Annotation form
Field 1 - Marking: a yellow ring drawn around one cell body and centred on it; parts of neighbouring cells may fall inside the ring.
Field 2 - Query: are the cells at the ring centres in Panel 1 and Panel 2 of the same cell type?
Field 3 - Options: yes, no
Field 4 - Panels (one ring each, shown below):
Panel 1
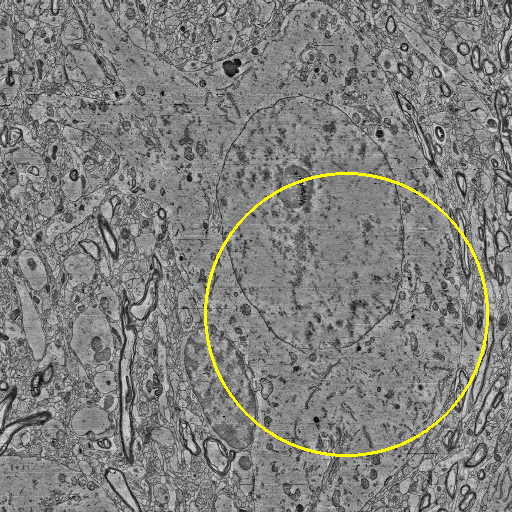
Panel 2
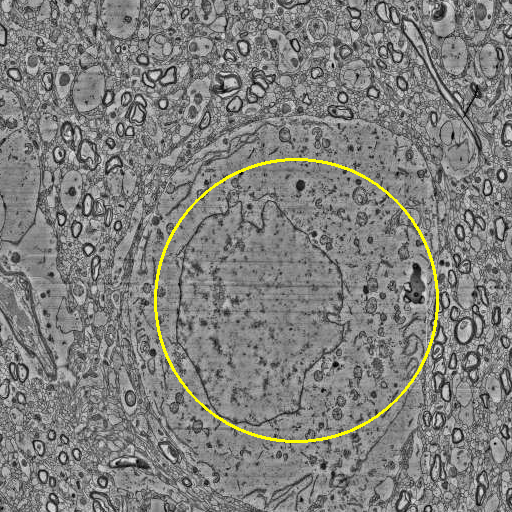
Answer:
yes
